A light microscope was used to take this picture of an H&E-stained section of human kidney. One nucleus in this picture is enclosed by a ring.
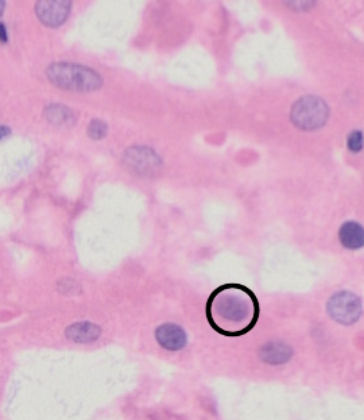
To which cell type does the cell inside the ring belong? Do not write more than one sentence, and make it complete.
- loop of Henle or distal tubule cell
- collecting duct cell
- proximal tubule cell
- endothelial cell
Typologically, the cell inside the ring is a proximal tubule cell in this section.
